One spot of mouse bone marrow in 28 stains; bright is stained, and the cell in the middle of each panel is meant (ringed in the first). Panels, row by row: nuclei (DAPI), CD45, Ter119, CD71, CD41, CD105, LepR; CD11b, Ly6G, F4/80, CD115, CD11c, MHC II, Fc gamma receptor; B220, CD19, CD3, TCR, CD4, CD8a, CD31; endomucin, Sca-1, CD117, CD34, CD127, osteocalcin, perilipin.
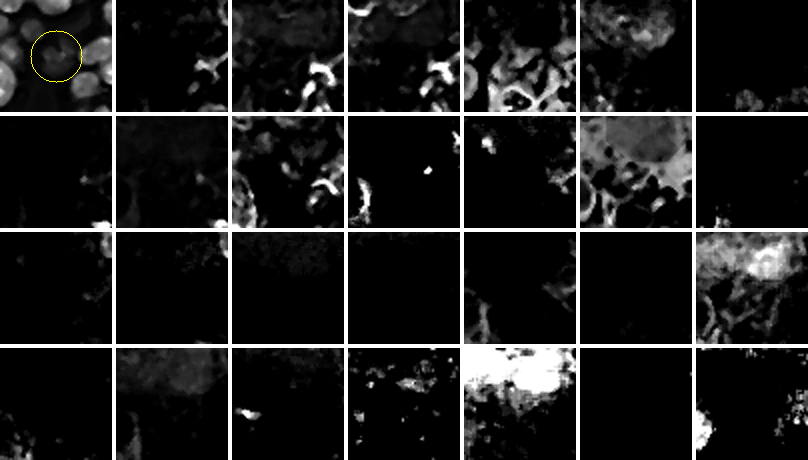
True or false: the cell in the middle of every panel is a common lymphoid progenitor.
True.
